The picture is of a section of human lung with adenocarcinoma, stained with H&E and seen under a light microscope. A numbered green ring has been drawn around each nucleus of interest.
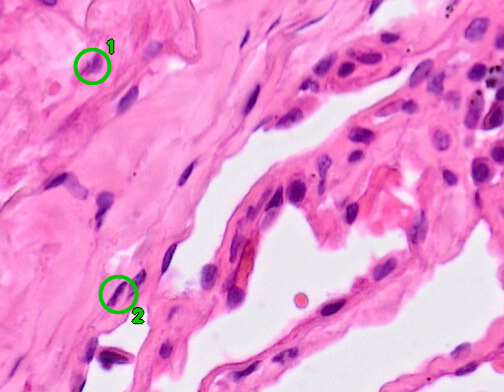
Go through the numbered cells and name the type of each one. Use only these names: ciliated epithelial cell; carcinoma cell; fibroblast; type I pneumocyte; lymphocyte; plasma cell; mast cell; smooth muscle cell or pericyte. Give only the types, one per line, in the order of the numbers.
smooth muscle cell or pericyte
fibroblast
